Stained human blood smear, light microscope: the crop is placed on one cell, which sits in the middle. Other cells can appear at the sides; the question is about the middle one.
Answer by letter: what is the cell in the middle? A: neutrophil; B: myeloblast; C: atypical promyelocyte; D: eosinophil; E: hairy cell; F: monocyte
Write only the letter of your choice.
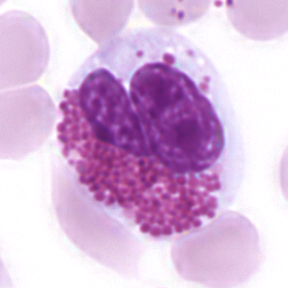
D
